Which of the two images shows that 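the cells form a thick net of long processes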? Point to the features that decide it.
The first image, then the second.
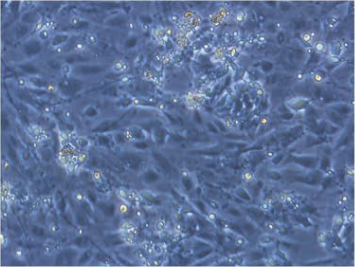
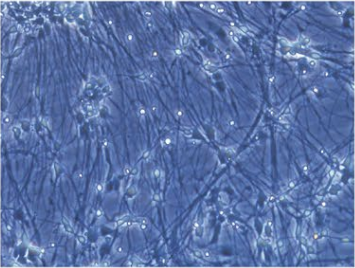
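First image: flattened, spread cells with short processes and clusters of bright round cells, no dense network of long fibres. Second image: long thin processes crisscross the whole field in a dense network between small cell bodies.
Hence: the second image.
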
